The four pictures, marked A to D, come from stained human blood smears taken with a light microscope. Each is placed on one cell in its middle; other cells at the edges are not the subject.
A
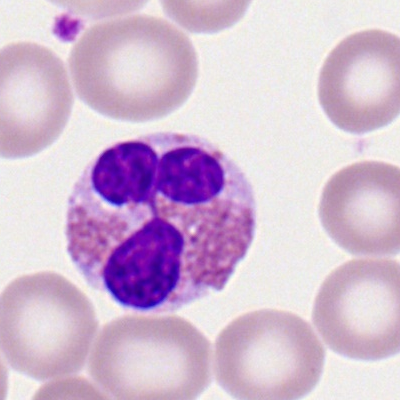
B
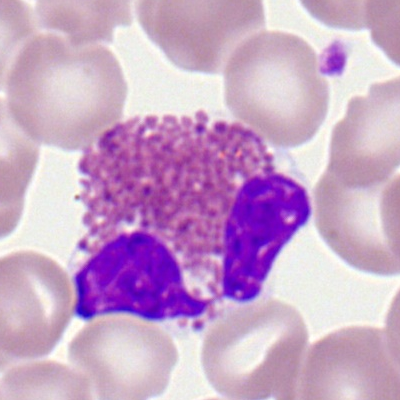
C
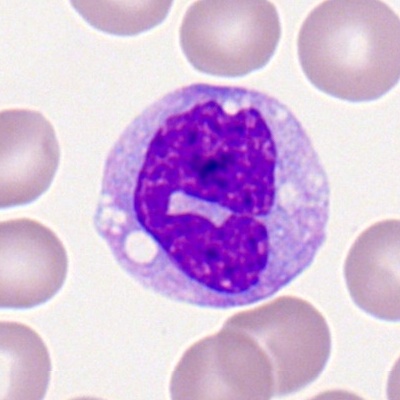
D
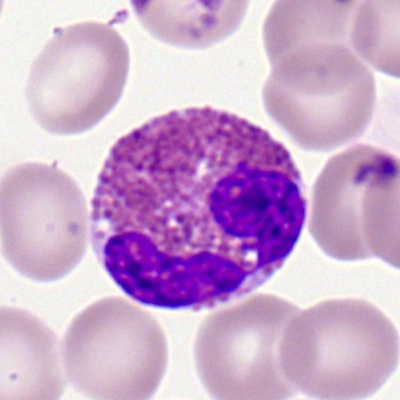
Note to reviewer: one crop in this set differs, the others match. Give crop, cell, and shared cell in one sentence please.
What sets crop C apart is that it shows a monocyte, while the others show eosinophils.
